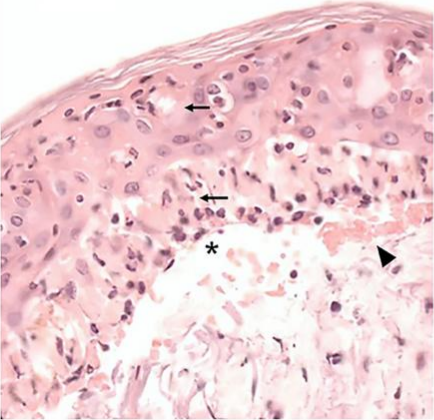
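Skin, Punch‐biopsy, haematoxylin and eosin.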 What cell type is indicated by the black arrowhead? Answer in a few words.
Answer: Erythrocytes.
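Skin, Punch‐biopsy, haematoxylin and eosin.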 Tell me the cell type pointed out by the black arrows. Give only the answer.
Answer: apoptotic keratinocytes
